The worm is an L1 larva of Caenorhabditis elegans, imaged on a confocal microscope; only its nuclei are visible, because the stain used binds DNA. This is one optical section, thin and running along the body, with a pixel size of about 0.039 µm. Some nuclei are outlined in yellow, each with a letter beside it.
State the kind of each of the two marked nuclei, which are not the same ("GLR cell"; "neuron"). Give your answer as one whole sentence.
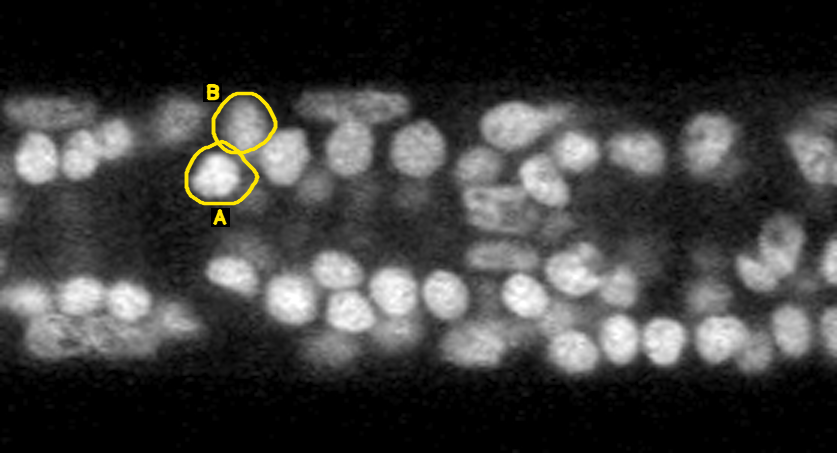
The nucleus A is that of a GLR cell, while B is that of a neuron.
